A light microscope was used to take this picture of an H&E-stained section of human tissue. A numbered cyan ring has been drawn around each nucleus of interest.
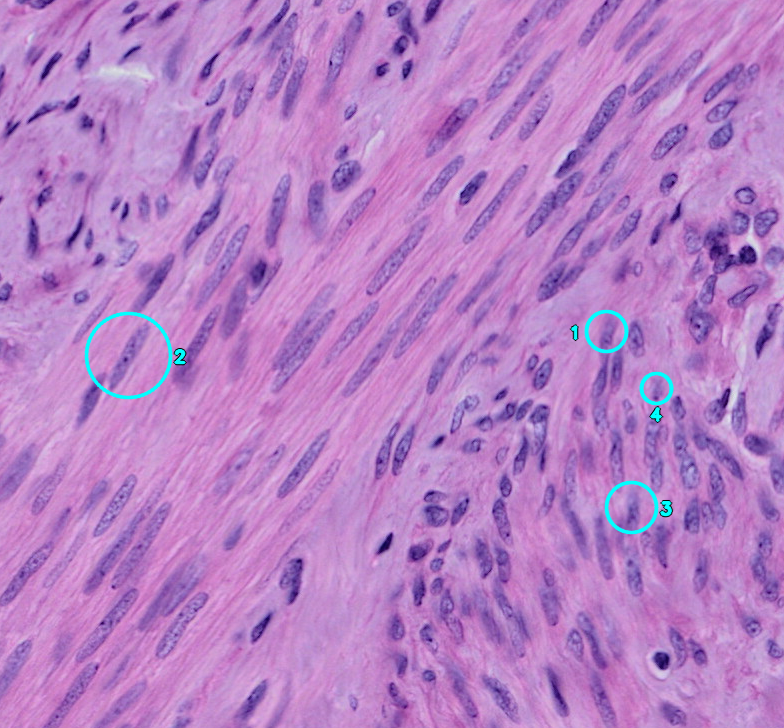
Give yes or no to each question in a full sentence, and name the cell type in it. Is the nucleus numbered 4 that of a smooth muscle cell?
Yes, the one numbered 4 is a smooth muscle cell.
